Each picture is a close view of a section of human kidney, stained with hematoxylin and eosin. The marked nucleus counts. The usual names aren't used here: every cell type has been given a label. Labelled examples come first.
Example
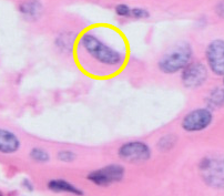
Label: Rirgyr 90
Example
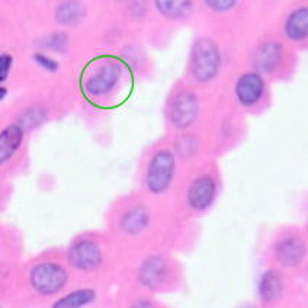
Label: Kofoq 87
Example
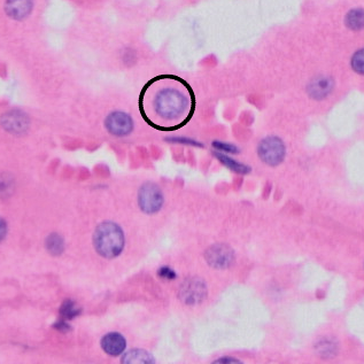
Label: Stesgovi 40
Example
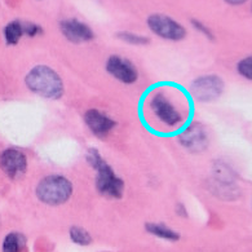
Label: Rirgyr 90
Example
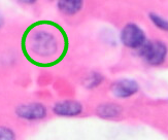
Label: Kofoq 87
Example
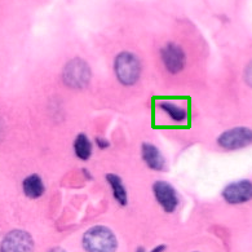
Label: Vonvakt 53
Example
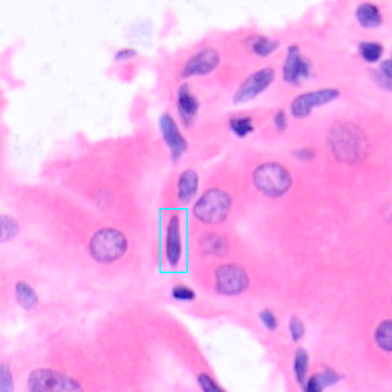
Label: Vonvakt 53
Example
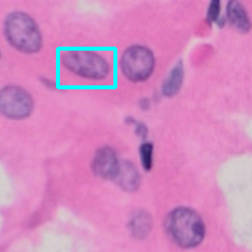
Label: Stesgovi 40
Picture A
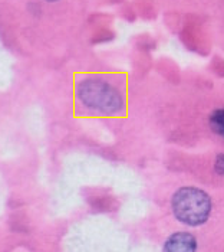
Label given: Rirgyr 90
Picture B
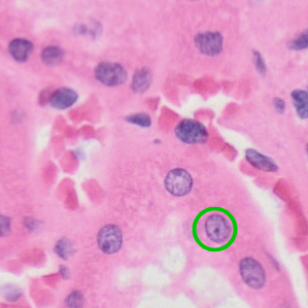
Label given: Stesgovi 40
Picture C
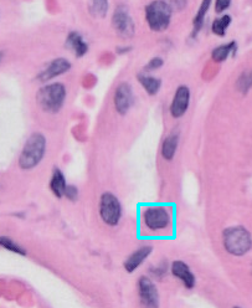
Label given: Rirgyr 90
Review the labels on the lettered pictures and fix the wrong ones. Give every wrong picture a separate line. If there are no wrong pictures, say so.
A: Stesgovi 40, not Rirgyr 90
